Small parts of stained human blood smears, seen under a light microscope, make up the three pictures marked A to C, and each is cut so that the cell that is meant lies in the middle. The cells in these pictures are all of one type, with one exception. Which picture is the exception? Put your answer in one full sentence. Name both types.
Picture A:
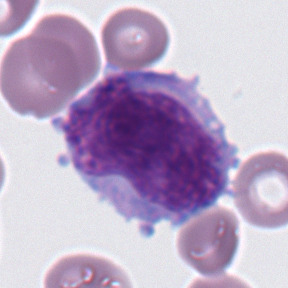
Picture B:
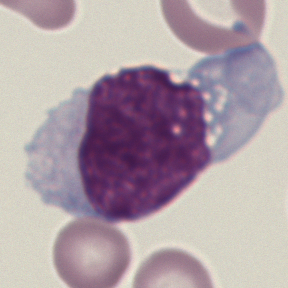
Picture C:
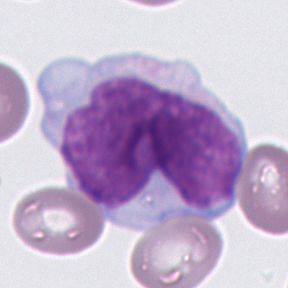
The others show atypical promyelocytes, but picture B shows a myeloblast.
